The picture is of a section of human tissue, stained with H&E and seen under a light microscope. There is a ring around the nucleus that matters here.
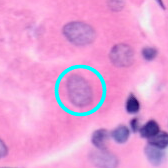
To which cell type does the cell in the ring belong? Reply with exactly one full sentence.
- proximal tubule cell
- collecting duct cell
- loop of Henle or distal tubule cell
In the tissue at hand, the cell in the ring is a proximal tubule cell.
